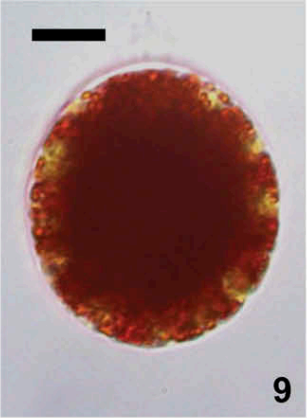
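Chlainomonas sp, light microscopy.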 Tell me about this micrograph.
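The cell is bounded by one thin wall lying close to the protoplast. Around the rim, beneath the surface, small yellow-green spots show where the chloroplasts lie against the cell wall. The centre of the cell is dark red and featureless, while the edge has a granular texture.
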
